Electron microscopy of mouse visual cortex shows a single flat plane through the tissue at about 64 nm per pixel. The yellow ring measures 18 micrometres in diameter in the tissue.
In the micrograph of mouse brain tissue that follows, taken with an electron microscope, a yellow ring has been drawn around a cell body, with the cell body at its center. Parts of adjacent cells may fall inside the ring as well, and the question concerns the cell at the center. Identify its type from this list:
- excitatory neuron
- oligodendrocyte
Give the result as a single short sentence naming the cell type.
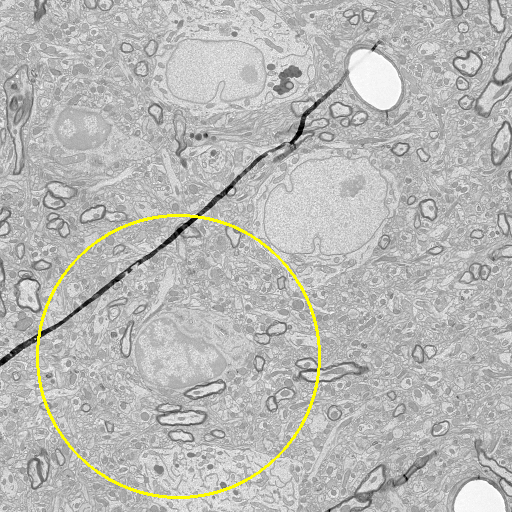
The ring is centered on an oligodendrocyte.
